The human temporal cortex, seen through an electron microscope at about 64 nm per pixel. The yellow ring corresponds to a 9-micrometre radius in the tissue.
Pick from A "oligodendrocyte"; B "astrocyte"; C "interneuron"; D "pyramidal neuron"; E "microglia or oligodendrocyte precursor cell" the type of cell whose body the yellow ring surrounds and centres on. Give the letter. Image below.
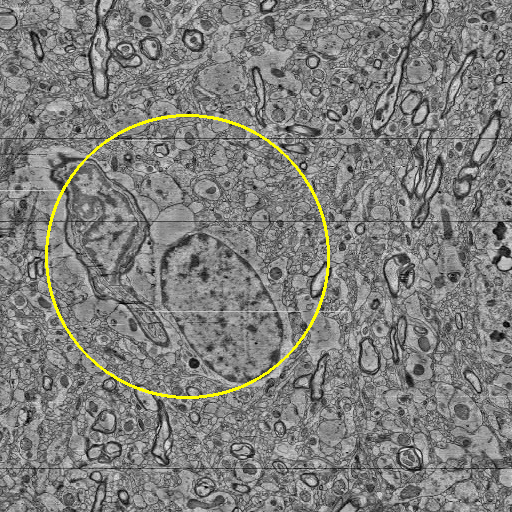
E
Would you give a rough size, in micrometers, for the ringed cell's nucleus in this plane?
Roughly 10 by 6 micrometres; in this plane, clearly longer than it is wide.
